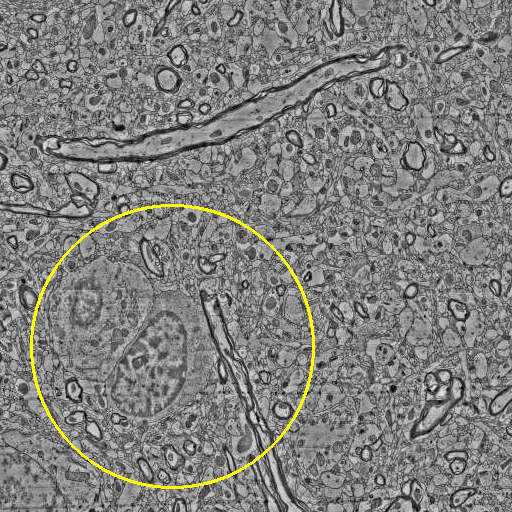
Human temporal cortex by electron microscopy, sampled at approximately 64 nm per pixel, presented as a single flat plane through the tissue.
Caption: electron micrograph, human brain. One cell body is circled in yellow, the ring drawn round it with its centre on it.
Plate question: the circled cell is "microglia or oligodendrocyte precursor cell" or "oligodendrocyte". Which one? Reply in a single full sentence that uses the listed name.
The yellow ring on the plate is centred on an oligodendrocyte, going by the listed names.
